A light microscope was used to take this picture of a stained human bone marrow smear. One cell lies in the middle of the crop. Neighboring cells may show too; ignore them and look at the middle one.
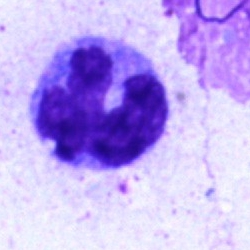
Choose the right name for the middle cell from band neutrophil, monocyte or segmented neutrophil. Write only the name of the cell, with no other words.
monocyte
